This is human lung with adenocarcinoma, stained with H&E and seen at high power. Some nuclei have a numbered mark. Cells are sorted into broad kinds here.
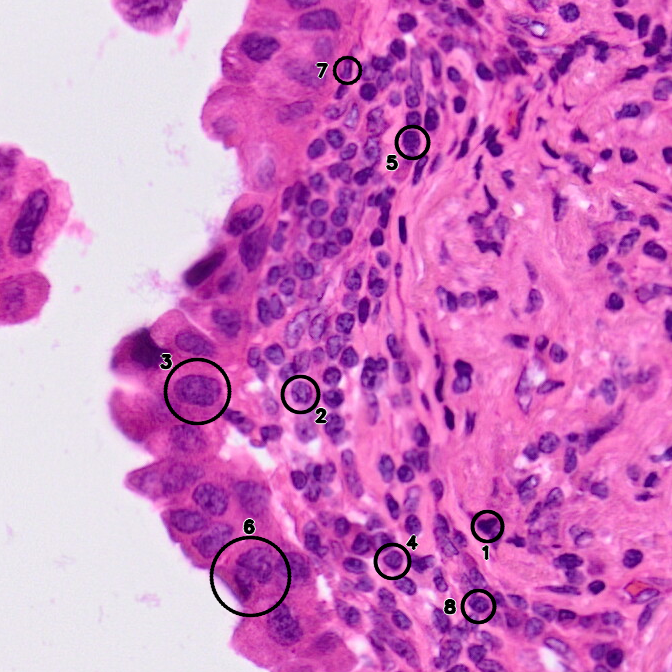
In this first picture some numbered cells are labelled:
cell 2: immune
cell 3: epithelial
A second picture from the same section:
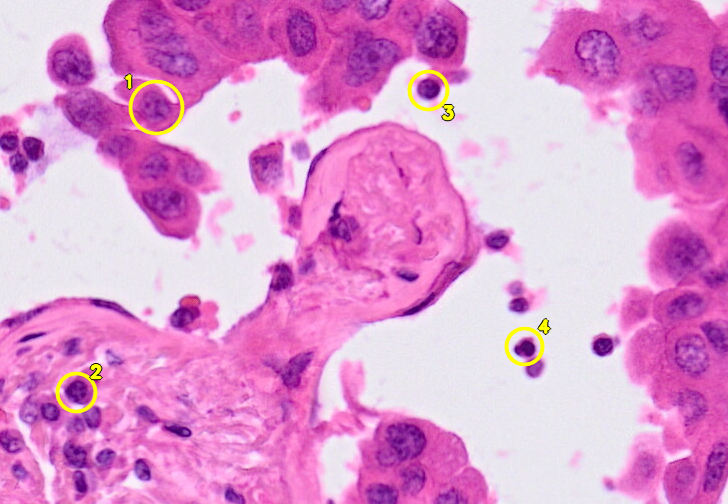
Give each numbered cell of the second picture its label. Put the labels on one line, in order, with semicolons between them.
epithelial; immune; immune; immune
